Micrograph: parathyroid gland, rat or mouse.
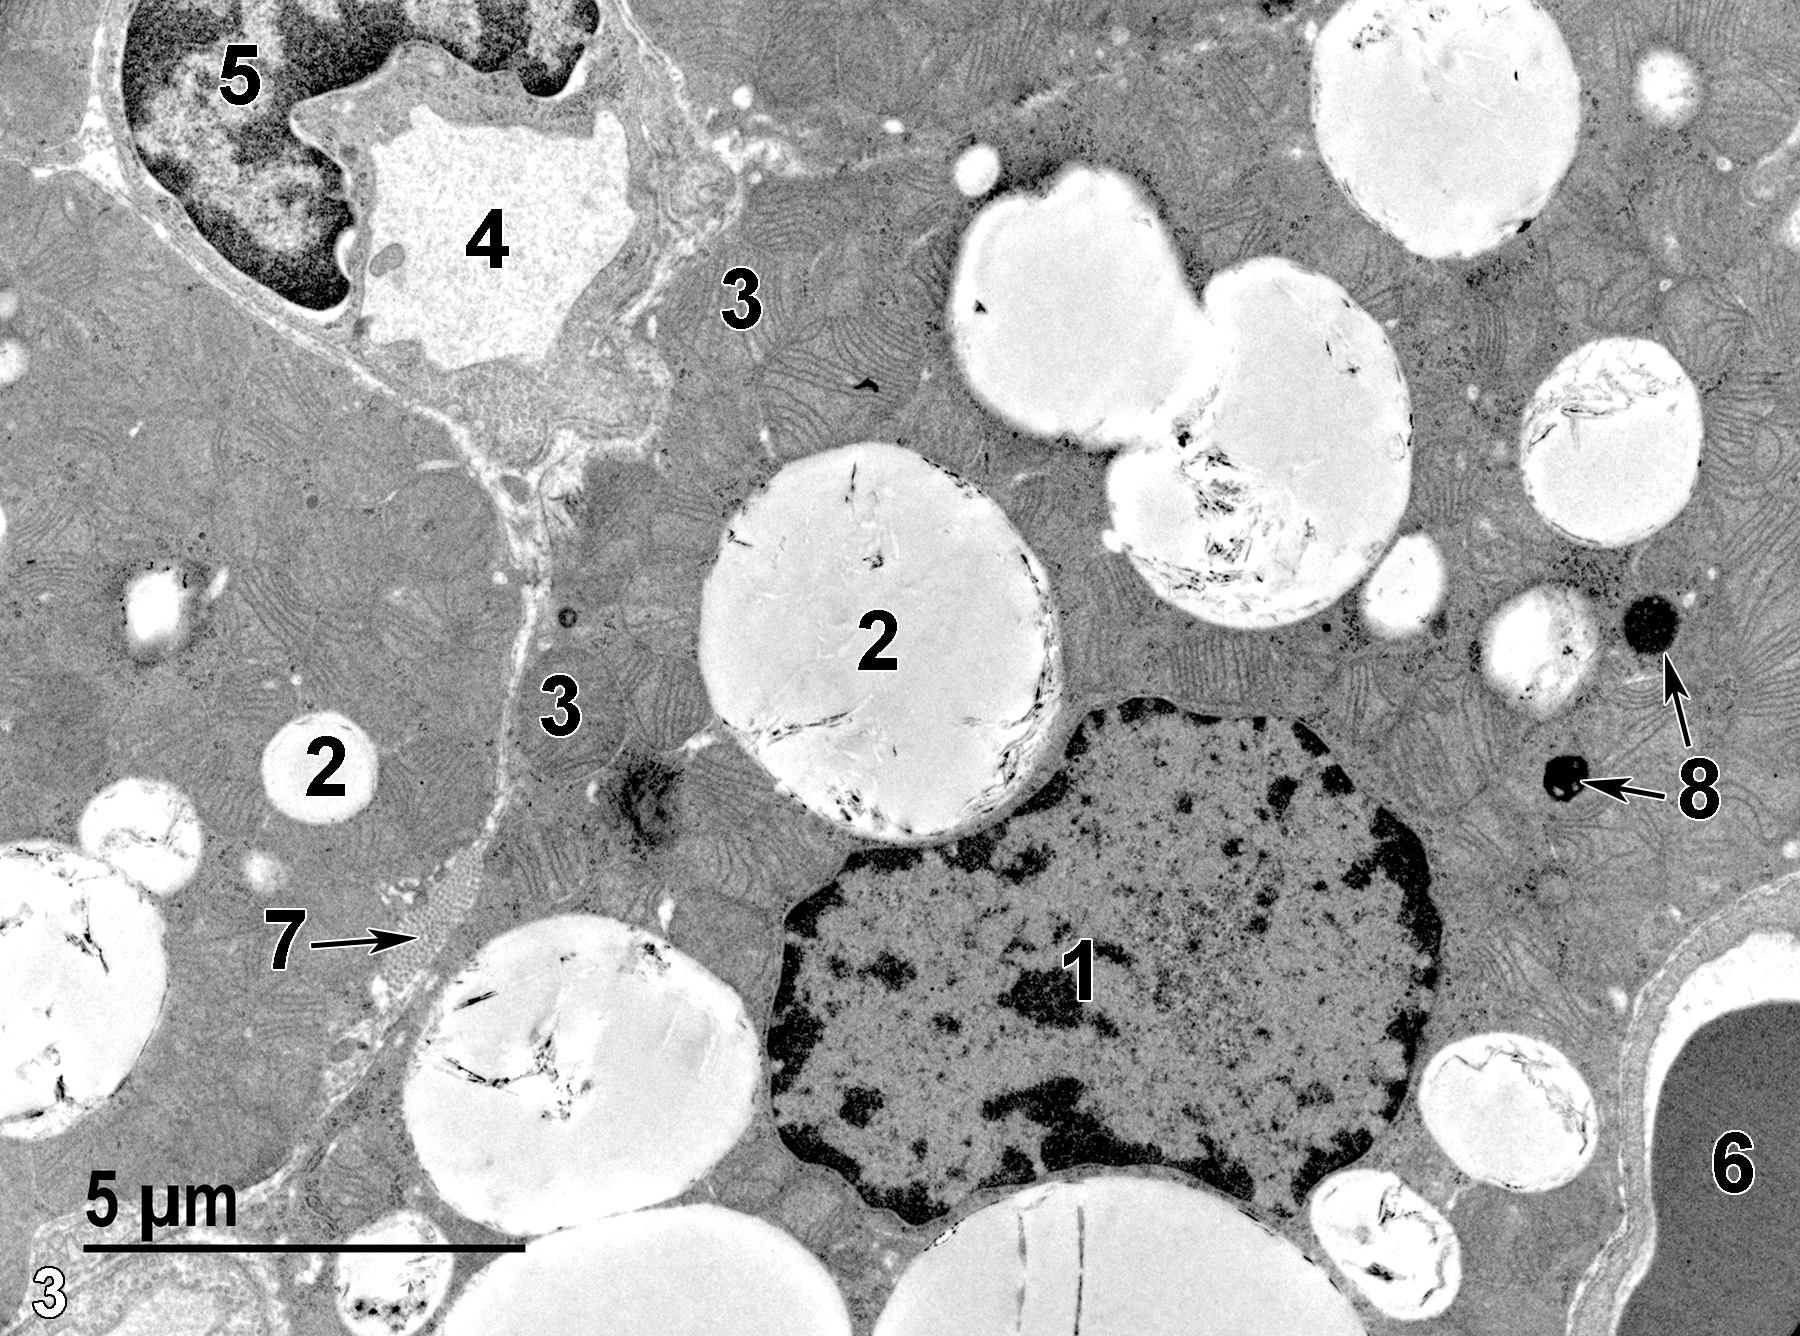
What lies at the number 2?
The number 2 marks the lipid bodies.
